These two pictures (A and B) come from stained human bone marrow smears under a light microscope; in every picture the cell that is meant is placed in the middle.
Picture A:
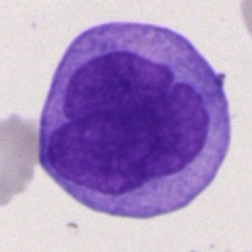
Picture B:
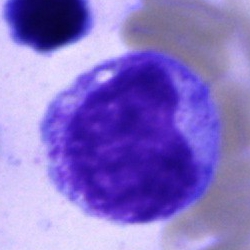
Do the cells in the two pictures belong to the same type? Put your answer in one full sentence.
No; the cell in picture A is a blast, while the one in picture B is a promyelocyte.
